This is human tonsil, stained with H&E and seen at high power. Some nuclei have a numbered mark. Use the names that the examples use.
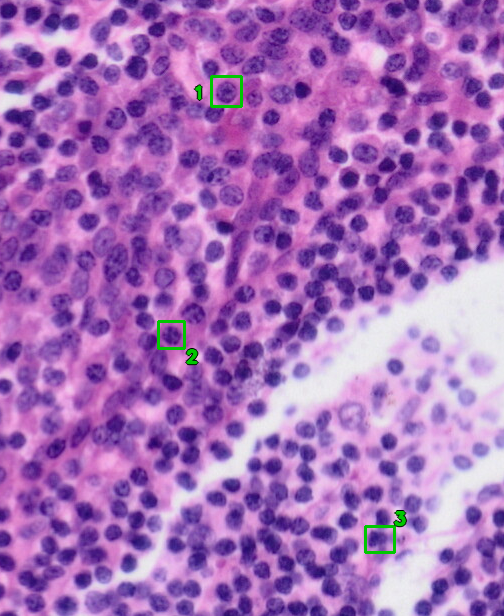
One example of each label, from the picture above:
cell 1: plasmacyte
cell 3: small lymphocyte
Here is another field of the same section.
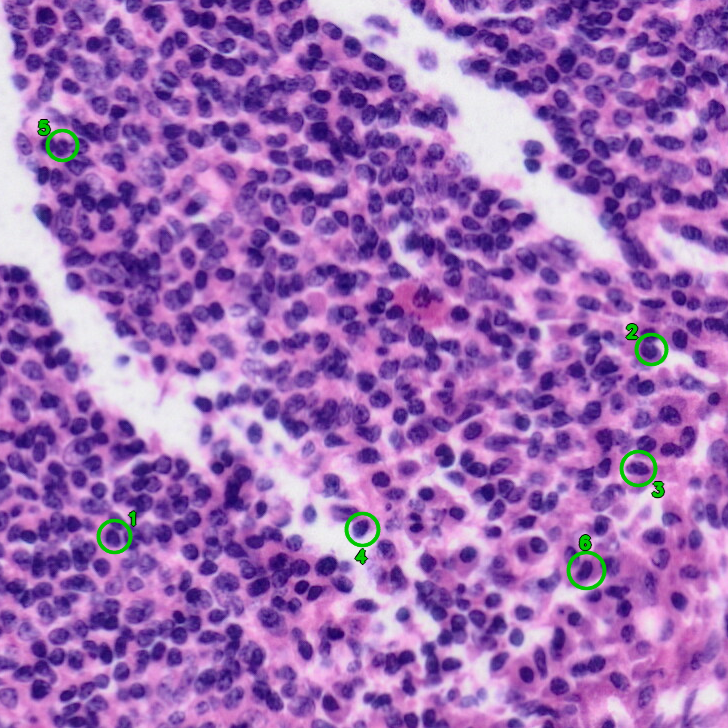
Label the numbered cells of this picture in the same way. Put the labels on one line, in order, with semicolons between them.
small lymphocyte; plasmacyte; plasmacyte; small lymphocyte; small lymphocyte; plasmacyte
